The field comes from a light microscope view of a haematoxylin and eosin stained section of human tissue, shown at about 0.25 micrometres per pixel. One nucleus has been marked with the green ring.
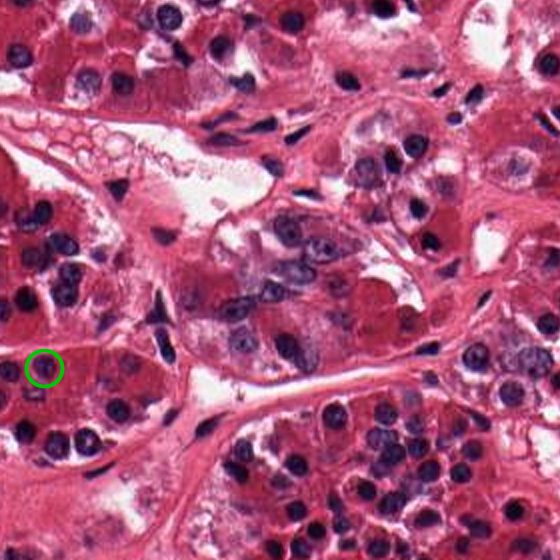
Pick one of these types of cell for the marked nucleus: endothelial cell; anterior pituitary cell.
anterior pituitary cell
